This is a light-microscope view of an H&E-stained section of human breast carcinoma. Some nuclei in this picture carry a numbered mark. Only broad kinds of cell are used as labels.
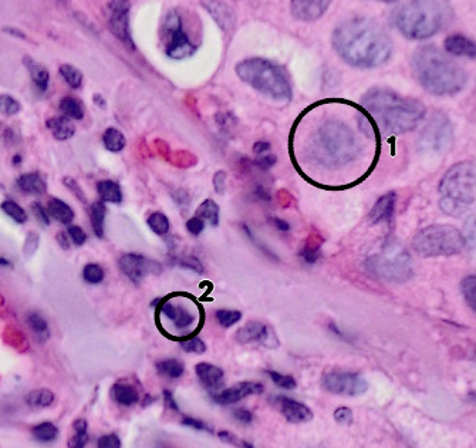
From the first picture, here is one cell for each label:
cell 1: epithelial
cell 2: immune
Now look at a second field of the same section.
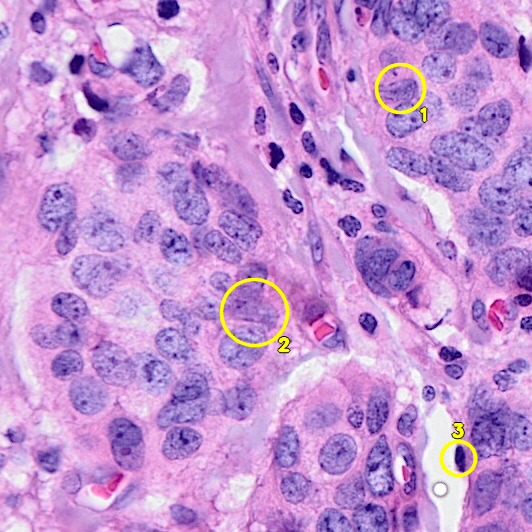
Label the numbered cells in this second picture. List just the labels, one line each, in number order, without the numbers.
epithelial
epithelial
immune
